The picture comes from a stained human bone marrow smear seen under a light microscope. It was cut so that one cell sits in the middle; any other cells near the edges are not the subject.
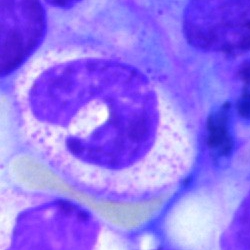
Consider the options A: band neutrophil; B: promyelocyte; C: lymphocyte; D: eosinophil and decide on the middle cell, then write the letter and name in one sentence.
The centrally located cell is a band neutrophil, making option A the correct choice.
